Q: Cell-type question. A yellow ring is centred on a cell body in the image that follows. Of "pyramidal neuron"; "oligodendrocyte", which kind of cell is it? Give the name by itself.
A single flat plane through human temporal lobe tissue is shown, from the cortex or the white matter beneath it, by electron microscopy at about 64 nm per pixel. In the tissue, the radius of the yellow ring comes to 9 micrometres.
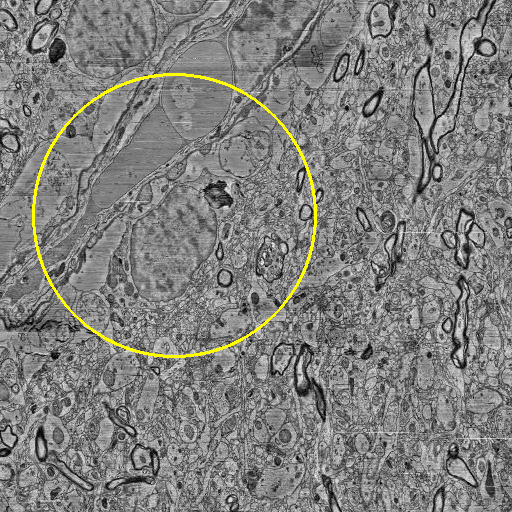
oligodendrocyte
